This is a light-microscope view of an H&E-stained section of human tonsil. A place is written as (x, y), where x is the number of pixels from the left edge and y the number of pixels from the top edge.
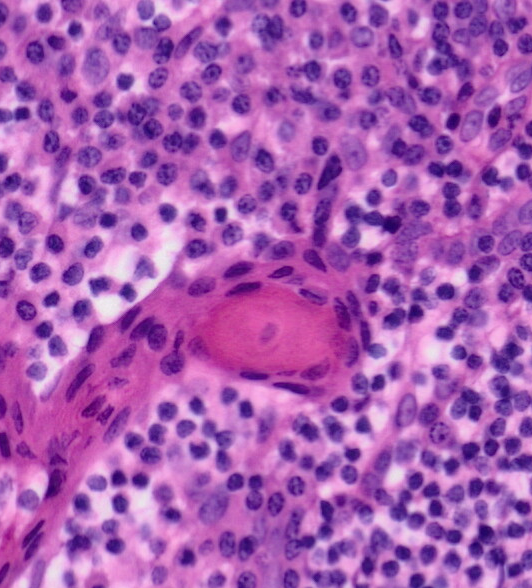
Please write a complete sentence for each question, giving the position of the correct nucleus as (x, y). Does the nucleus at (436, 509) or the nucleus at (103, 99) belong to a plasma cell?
The one at (103, 99) is the nucleus belonging to a plasma cell, not the other one.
